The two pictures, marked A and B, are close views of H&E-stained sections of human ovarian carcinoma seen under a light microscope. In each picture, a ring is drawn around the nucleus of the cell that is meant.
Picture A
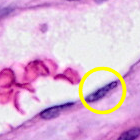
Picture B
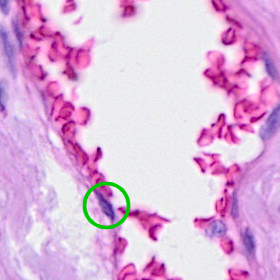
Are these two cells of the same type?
yes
